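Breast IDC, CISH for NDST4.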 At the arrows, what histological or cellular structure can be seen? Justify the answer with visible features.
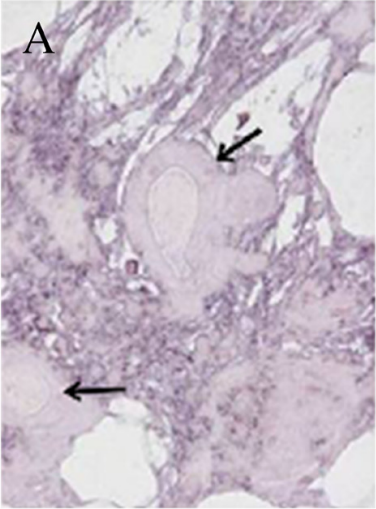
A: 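Ducts of normal appearance. The arrows point to pale, rounded structures with a central lumen. These are lighter than the surrounding purple-stained tissue.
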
